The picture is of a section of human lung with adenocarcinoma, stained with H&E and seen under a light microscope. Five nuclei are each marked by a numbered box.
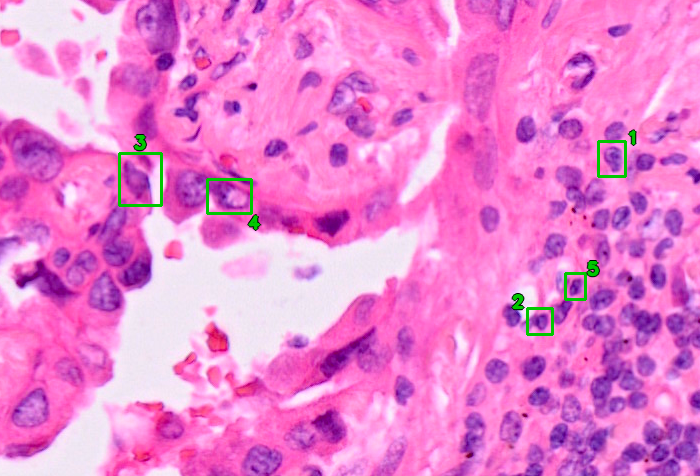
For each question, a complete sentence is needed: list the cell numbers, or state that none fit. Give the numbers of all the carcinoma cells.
The cells that the numbers 3 and 4 belong to are carcinoma cells.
